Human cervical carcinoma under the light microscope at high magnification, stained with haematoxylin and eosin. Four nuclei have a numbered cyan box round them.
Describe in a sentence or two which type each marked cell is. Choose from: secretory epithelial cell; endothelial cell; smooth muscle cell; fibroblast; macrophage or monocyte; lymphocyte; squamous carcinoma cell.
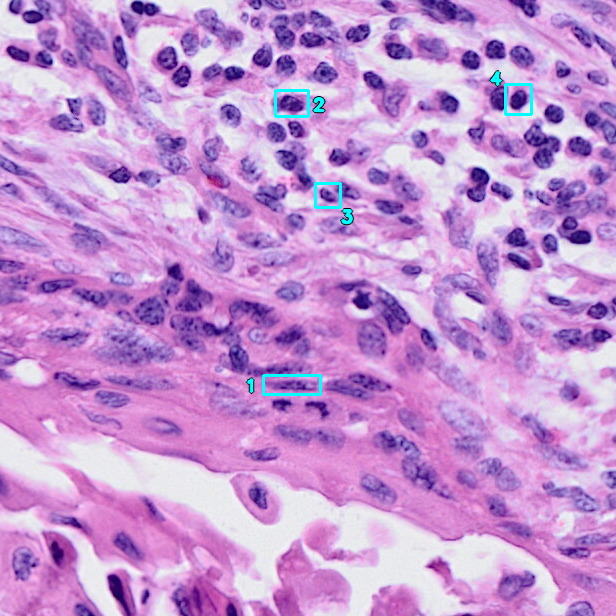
Cell 1 is a squamous carcinoma cell, cell 2 is a lymphocyte, cell 3 is a lymphocyte and cell 4 is a lymphocyte.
